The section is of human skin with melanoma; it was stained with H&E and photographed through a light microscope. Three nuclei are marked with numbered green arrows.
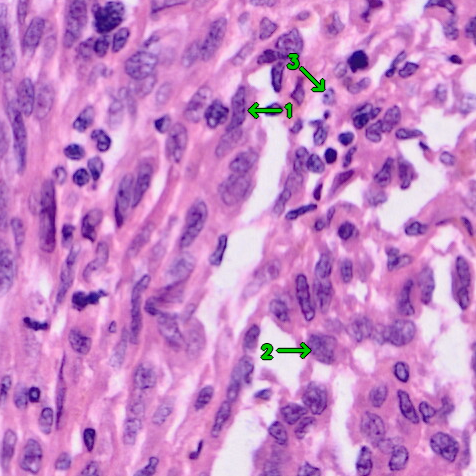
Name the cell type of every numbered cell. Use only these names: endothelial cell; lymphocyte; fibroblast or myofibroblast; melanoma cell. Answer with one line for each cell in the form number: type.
1: melanoma cell
2: melanoma cell
3: lymphocyte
